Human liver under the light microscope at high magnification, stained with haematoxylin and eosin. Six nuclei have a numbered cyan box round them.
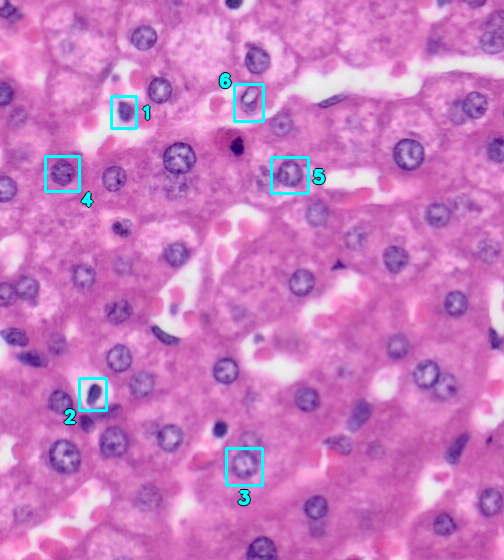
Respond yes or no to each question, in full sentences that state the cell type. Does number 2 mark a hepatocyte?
No, the cell bearing number 2 is not a hepatocyte but a lymphocyte.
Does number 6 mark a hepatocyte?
No, the one with number 6 is a Kupffer cell, not a hepatocyte.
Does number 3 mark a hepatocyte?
Yes, it is a hepatocyte that number 3 identifies.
